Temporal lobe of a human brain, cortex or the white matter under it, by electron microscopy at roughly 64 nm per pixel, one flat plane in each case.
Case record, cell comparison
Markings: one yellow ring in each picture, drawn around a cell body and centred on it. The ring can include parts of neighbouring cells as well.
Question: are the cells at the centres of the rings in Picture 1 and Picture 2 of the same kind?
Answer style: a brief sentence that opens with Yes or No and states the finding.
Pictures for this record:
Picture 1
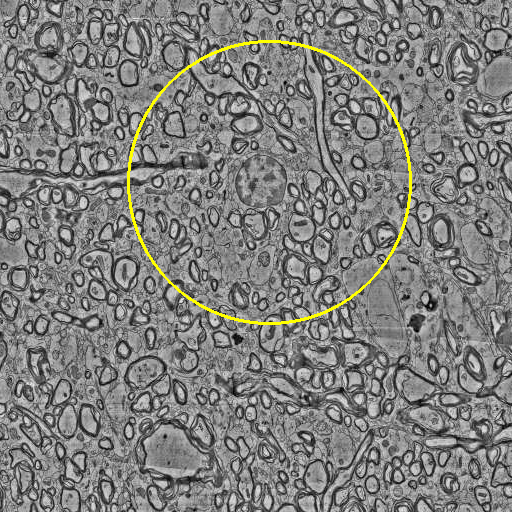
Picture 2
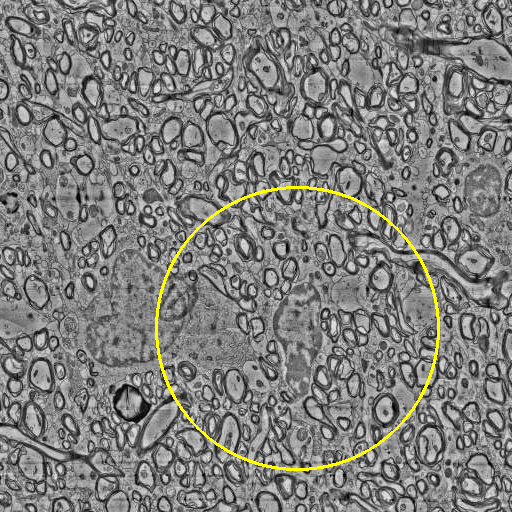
Yes, the cells in Picture 1 and Picture 2 are of the same kind.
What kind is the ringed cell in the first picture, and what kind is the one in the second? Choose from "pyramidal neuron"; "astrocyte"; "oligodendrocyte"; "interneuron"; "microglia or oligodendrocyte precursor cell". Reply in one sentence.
The cell at the ring centre is a microglial cell or oligodendrocyte precursor cell in both pictures.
